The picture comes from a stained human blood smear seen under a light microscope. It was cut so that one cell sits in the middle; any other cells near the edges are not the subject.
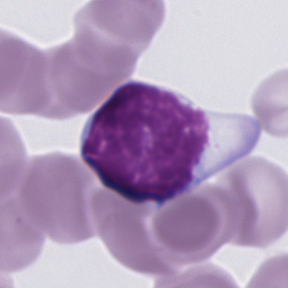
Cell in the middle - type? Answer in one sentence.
The cell found in the middle of this crop is a large granular lymphocyte.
